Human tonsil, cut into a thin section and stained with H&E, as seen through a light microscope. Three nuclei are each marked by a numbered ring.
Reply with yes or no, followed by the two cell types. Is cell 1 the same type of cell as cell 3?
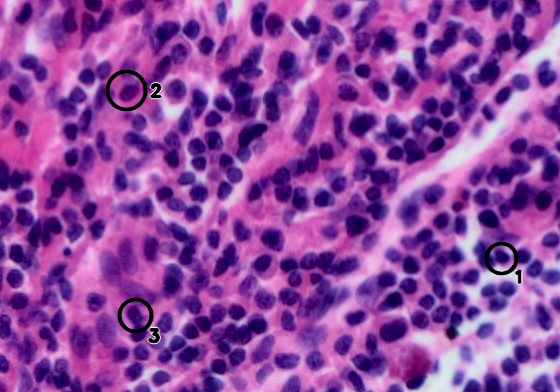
No, the cell marked 1 is a small lymphocyte, and the cell marked 3 is an endothelial cell.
